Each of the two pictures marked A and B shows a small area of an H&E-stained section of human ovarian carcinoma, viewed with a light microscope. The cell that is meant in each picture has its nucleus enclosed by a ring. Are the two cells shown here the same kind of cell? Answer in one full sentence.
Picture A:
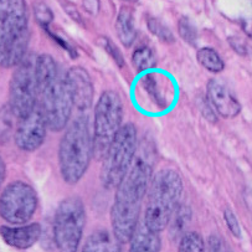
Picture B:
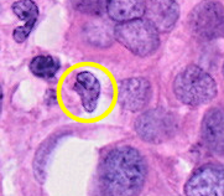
No, the types are not the same, since picture A shows a fibroblast and picture B a “macrophage or monocyte”.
